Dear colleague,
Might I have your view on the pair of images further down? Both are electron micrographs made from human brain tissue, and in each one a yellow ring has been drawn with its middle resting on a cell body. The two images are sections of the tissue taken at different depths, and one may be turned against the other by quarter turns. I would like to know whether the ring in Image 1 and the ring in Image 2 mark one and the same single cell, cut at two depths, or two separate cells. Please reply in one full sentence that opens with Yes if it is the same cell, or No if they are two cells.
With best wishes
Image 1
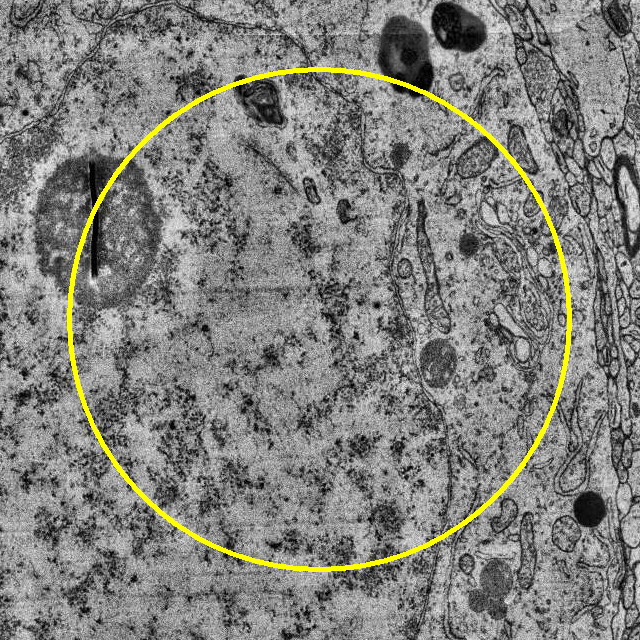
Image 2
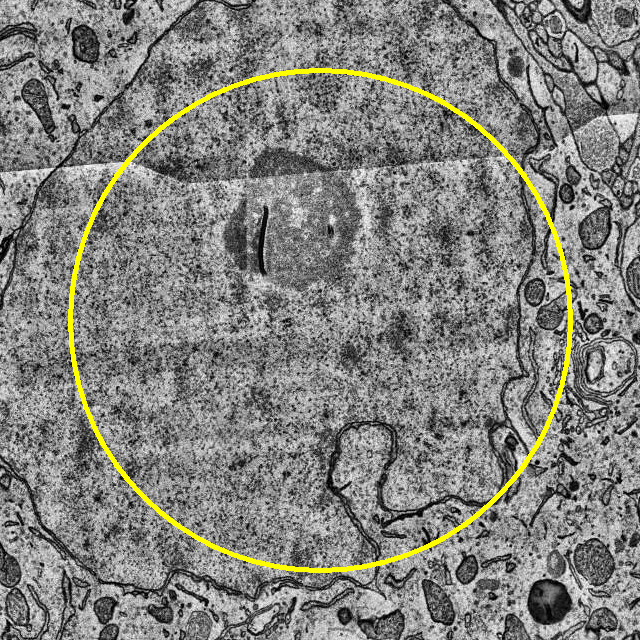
No, the rings mark two cells rather than a single cell.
